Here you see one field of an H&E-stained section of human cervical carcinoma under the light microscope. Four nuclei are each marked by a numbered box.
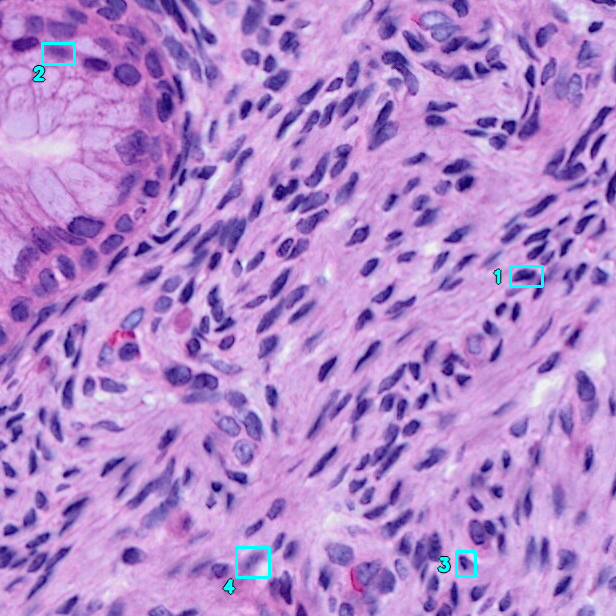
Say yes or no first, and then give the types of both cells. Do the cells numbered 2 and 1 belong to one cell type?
No, cell 2 is a secretory epithelial cell and cell 1 is a fibroblast.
